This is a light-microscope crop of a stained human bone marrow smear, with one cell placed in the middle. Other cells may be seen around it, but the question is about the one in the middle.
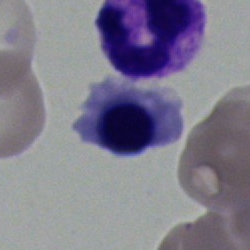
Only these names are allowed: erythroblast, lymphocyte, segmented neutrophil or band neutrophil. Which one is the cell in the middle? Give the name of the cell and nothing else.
erythroblast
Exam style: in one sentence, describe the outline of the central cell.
The outline of this cell is not smooth but ragged or drawn out into projections.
